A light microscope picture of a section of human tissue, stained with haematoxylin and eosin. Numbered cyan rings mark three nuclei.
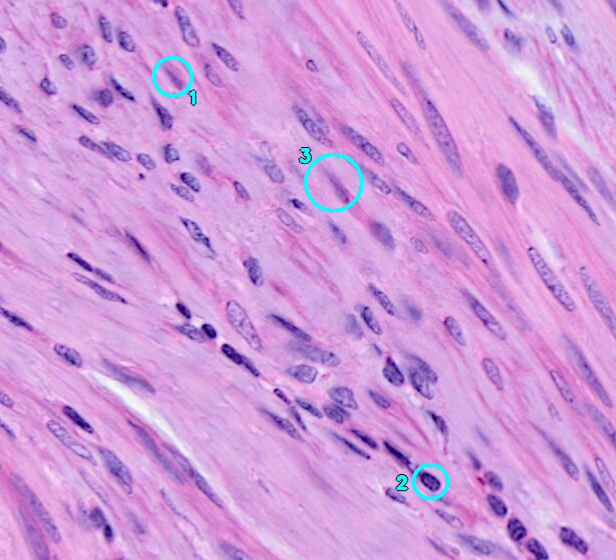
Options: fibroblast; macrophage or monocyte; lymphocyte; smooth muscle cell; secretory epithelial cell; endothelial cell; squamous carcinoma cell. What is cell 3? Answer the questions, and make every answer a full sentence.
Cell number 3 in this section is a smooth muscle cell.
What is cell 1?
That cell with number 1 is a smooth muscle cell.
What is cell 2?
That cell with number 2 is a lymphocyte.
